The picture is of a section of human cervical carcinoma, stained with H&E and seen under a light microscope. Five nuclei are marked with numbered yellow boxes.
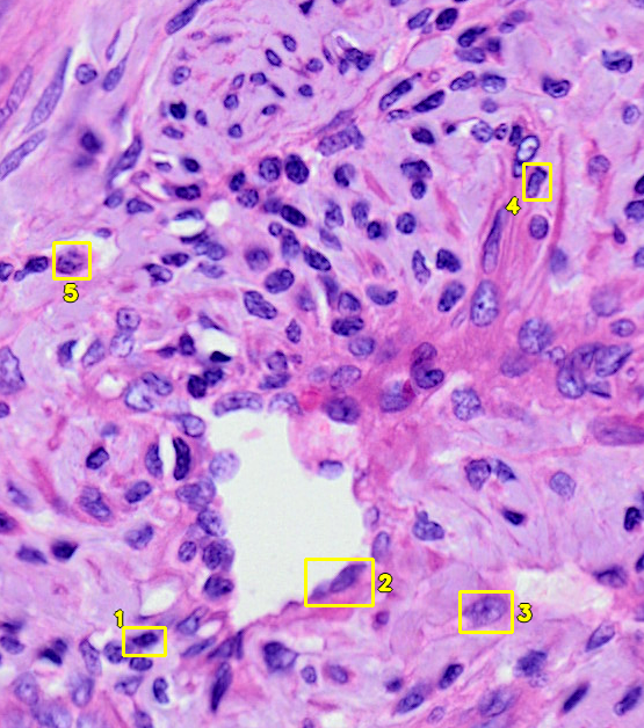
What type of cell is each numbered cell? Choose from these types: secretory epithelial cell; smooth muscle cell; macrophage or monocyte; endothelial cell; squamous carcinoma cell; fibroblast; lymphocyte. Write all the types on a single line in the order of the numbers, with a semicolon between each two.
lymphocyte; endothelial cell; endothelial cell; smooth muscle cell; macrophage or monocyte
